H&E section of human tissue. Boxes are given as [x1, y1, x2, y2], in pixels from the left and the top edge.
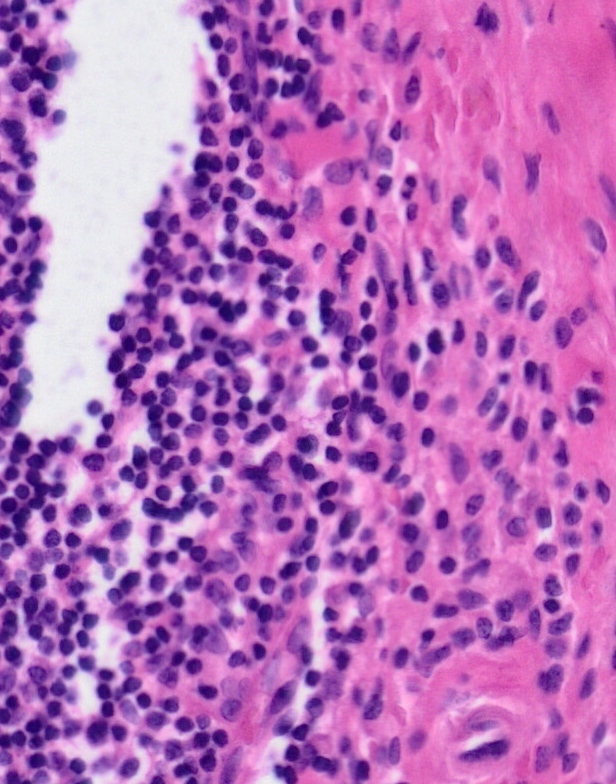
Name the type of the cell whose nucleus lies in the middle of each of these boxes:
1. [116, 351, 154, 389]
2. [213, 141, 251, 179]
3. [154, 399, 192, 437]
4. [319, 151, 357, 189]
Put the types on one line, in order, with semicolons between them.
small lymphocyte; small lymphocyte; small lymphocyte; endothelial cell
